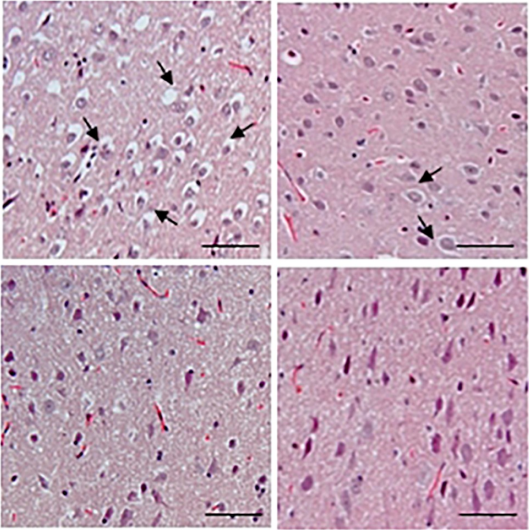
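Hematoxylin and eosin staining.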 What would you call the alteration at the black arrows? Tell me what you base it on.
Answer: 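The arrowed cells sit in clear, unstained spaces or halos. The arrowed cells look rounded and swollen compared with cells in the lower images.
Answer: damaged cells with vacuoles and swelling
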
